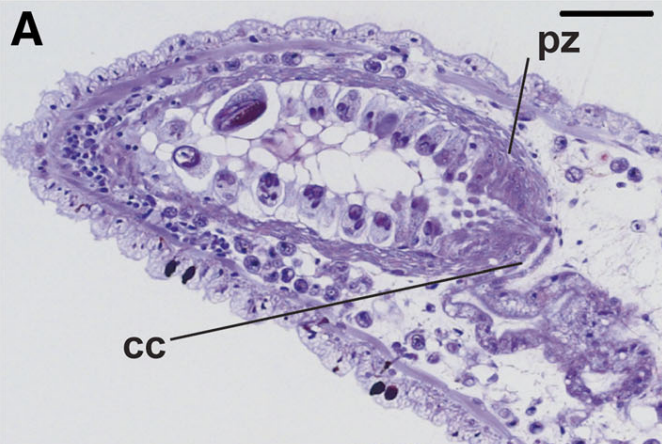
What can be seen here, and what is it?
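This longitudinal section through a cnidosac shows a central lumen lined by tall columnar cells with round purple nuclei and pale, vacuolated cytoplasm. At the base of the sac, small densely packed cells form a proliferation zone, and a narrow channel leads away from the lumen. The whole sac is covered by an outer epithelium of cuboidal to columnar cells.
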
